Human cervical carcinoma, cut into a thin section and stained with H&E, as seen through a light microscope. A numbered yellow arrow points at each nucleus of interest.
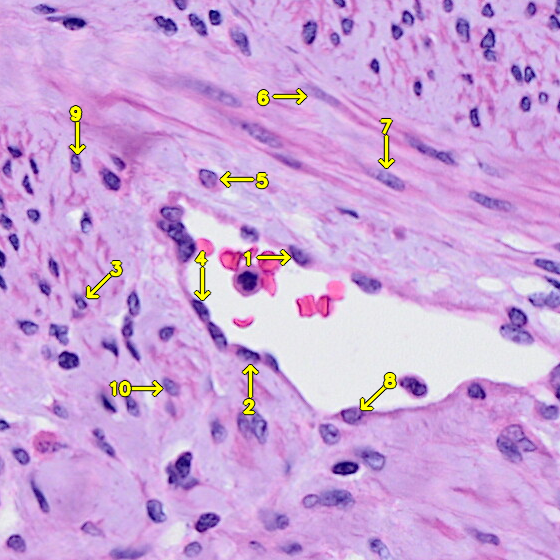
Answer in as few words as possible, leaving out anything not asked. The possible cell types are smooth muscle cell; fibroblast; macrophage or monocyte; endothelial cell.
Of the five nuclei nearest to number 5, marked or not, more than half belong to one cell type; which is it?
endothelial cell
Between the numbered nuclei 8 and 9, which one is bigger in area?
8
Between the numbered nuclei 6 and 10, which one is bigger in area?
6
